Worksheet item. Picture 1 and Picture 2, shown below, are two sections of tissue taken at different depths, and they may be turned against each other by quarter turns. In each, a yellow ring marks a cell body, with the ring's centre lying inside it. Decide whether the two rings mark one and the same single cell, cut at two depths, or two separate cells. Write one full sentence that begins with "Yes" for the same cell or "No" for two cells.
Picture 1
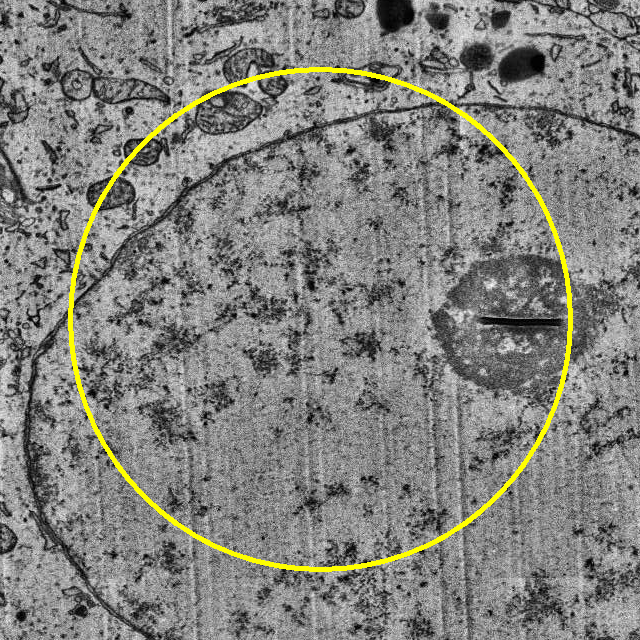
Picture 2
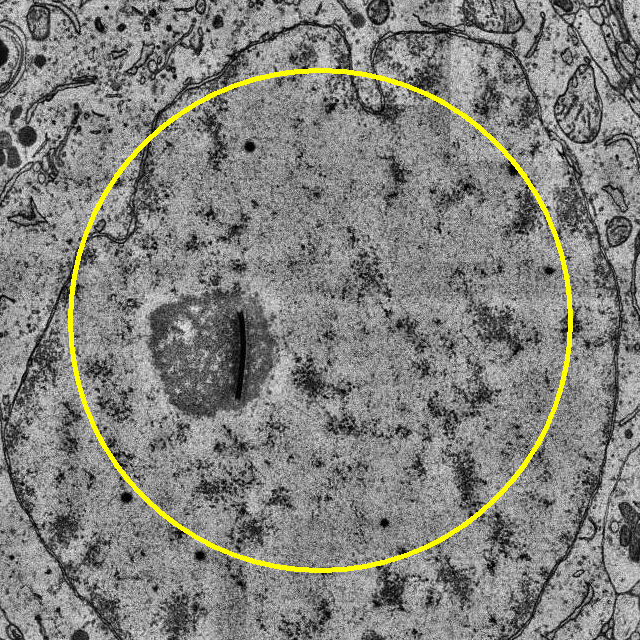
No, the two rings enclose two cells that are not the same.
